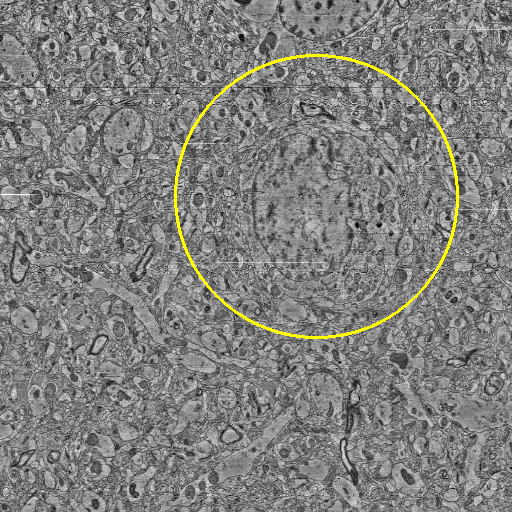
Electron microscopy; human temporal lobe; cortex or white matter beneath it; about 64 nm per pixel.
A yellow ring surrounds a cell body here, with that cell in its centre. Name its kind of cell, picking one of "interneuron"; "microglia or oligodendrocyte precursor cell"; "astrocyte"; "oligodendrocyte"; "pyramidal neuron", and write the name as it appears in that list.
interneuron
